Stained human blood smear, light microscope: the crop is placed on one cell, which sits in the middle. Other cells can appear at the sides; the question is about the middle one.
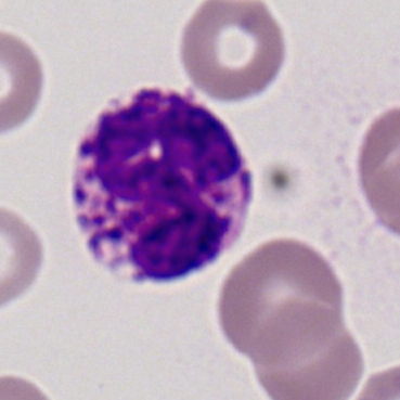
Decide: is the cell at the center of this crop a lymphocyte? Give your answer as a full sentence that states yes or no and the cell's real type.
No, the central cell is counted as a basophil instead of a lymphocyte.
